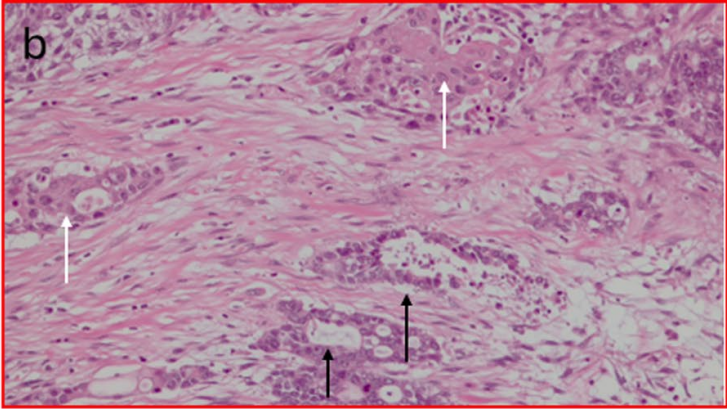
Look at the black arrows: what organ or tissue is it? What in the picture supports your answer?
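The black arrows point to epithelial cells arranged around small lumens. The marked structures form gland-like spaces within fibrous stroma.
Adenocarcinoma.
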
